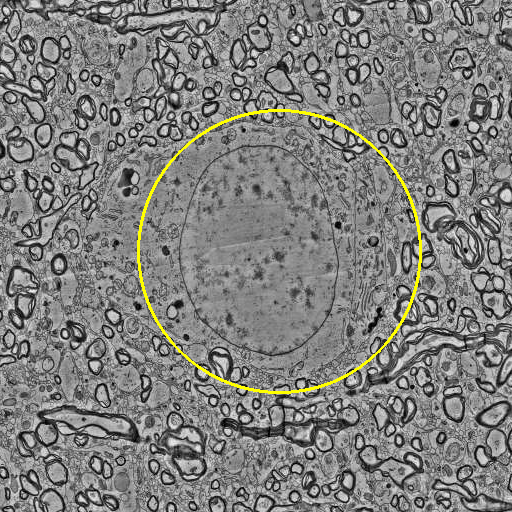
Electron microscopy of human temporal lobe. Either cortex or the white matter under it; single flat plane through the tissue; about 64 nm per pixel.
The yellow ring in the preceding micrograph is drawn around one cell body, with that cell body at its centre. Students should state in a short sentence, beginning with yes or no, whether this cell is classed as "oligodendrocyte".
No, this cell is of another type.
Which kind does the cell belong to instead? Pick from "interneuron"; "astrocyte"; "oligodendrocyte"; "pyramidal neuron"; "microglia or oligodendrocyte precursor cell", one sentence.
So the cell at the centre is a pyramidal neuron.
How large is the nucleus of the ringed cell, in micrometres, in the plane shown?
The ringed cell's nucleus is about 14 micrometres long and 11 micrometres wide in this plane.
